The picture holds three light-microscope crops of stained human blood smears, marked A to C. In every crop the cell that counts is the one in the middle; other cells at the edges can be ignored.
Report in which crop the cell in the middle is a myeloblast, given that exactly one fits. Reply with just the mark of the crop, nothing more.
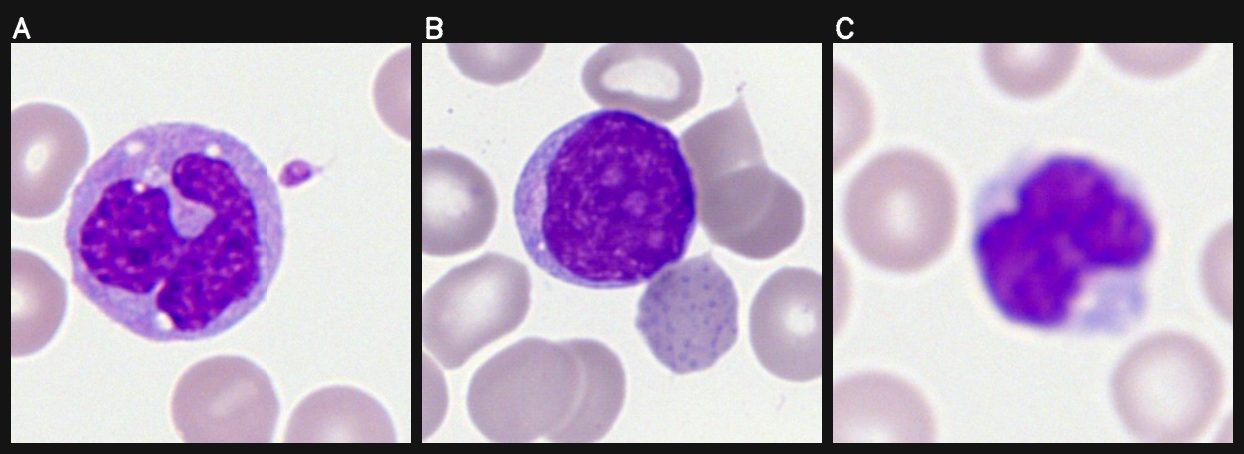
B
